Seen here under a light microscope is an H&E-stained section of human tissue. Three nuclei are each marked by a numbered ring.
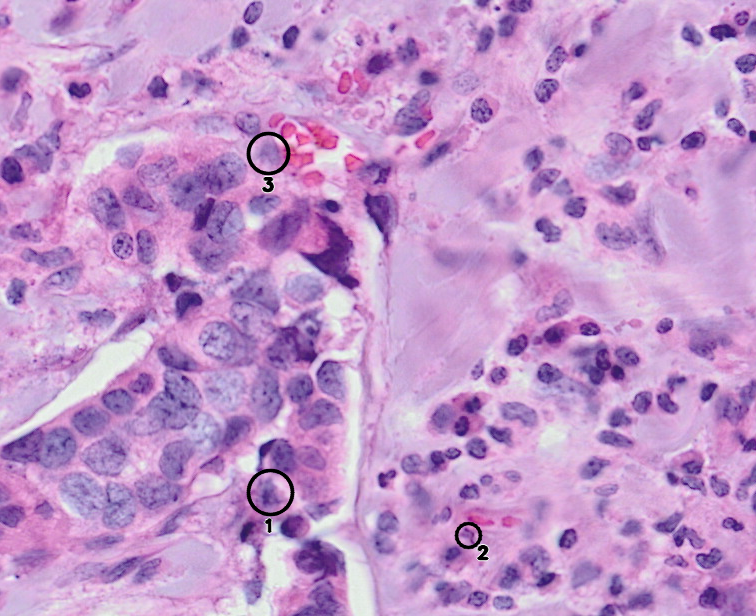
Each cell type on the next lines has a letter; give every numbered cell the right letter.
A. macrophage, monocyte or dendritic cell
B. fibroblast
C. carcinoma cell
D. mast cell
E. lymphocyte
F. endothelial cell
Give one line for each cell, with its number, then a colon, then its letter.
1: C
2: F
3: F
